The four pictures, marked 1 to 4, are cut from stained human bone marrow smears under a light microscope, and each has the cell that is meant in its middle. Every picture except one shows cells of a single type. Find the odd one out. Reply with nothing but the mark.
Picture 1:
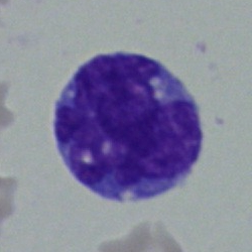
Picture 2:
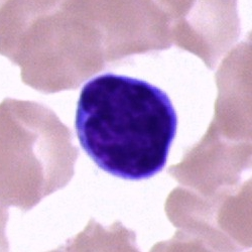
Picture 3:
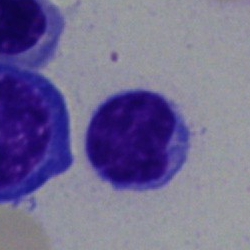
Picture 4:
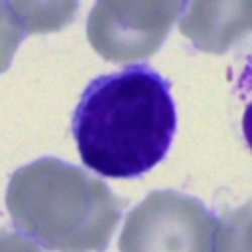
1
